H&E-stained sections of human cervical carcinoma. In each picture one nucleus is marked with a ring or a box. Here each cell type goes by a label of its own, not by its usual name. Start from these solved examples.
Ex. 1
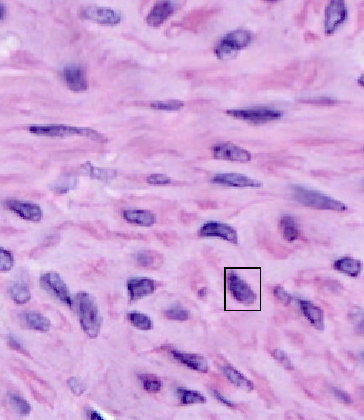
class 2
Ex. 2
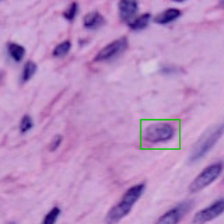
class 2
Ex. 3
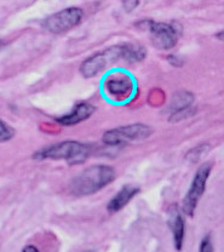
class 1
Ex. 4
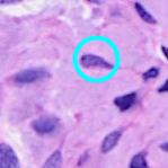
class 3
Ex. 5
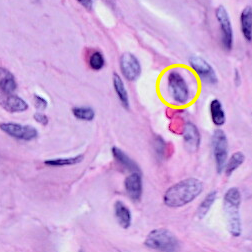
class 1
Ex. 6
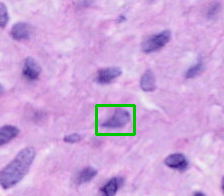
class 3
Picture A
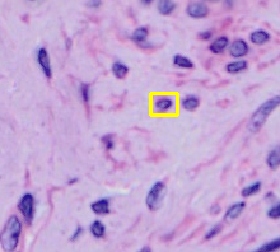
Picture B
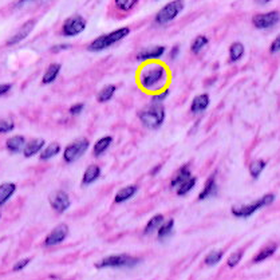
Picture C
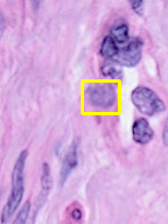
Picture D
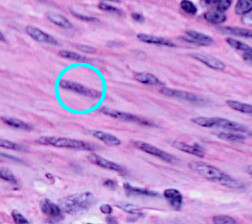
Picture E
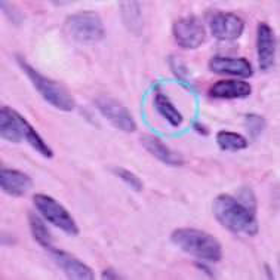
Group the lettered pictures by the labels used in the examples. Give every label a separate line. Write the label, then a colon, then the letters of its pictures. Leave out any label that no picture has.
class 2: A, B, D
class 1: C
class 3: E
